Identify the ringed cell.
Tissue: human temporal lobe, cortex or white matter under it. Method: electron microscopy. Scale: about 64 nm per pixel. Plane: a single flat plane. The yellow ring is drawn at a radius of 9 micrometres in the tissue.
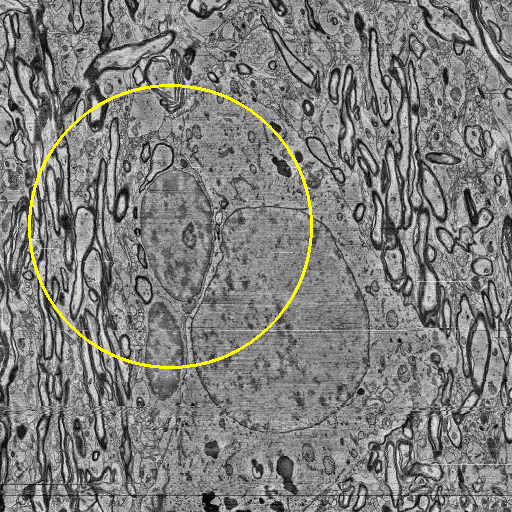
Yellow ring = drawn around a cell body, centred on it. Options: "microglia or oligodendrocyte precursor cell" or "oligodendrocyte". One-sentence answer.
What the ring is centred on is an oligodendrocyte.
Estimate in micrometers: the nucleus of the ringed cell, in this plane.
In this plane, approximately 9 by 5 micrometers.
